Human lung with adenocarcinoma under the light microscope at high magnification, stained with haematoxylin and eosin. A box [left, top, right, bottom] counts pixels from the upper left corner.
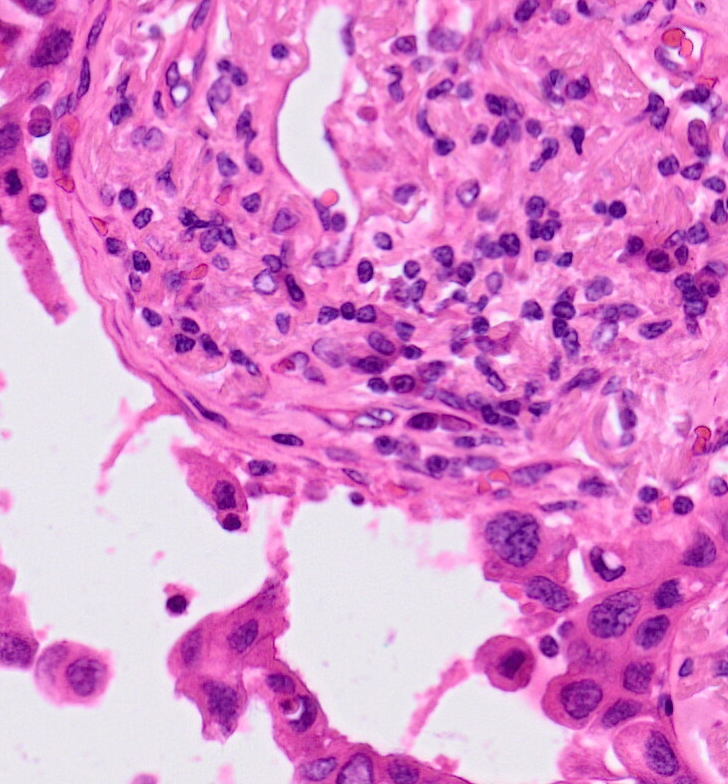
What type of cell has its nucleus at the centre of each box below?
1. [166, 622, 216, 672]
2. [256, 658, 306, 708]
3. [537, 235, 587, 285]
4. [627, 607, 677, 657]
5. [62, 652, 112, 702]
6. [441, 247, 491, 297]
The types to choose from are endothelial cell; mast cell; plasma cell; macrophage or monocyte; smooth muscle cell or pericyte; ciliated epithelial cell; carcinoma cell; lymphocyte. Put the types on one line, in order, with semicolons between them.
carcinoma cell; carcinoma cell; lymphocyte; carcinoma cell; carcinoma cell; plasma cell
